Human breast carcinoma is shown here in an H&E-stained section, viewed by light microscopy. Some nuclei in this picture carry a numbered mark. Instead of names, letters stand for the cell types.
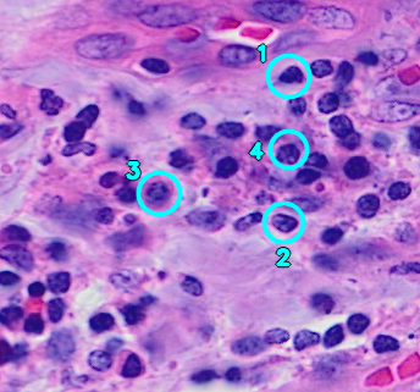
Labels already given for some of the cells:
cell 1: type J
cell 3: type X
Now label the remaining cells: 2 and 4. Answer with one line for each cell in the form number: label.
2: type J
4: type J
